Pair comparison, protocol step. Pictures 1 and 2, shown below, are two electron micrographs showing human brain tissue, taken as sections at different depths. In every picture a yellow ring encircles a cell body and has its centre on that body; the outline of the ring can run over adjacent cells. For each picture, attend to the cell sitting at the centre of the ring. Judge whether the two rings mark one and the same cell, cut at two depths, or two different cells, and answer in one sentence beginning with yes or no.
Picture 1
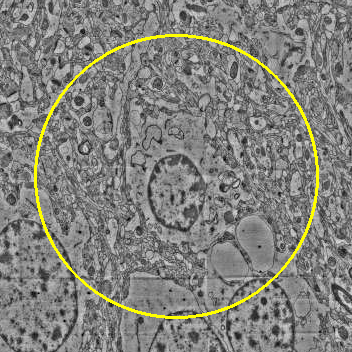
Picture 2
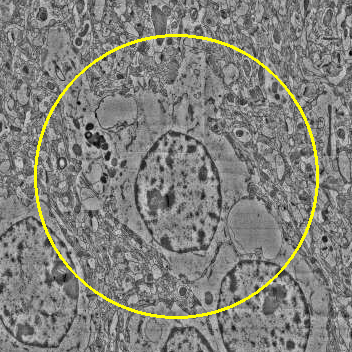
Yes, the two rings belong to one cell, not to two.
